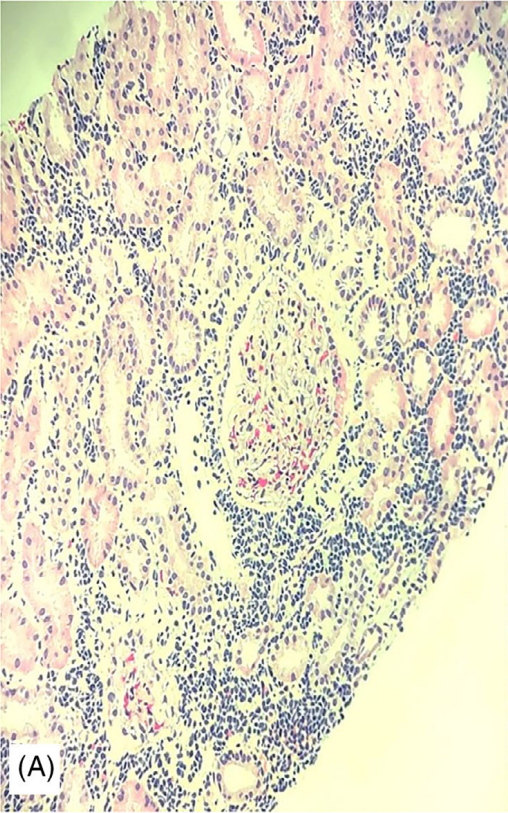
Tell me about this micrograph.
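This is a kidney core in which the interstitium is diffusely filled with atypical lymphoid cells. Renal tubules with pink cytoplasm are spread apart by sheets of small-to-medium round cells with dark, densely stained nuclei and scant cytoplasm. The infiltrating cells look uniform, crowding between and around the tubules across the whole core. Near the centre lies a glomerulus, a rounded tuft of capillary loops with red blood cells, which keeps its outline and is ringed by the infiltrate.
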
